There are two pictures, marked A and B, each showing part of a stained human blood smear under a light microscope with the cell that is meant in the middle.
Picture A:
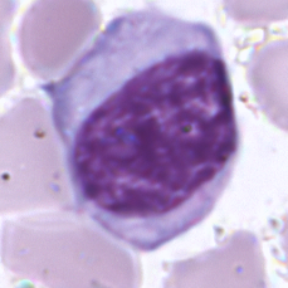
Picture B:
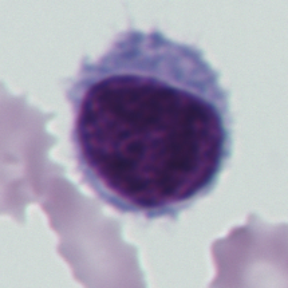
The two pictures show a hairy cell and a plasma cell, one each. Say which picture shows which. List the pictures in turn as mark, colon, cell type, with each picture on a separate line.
A: plasma cell
B: hairy cell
